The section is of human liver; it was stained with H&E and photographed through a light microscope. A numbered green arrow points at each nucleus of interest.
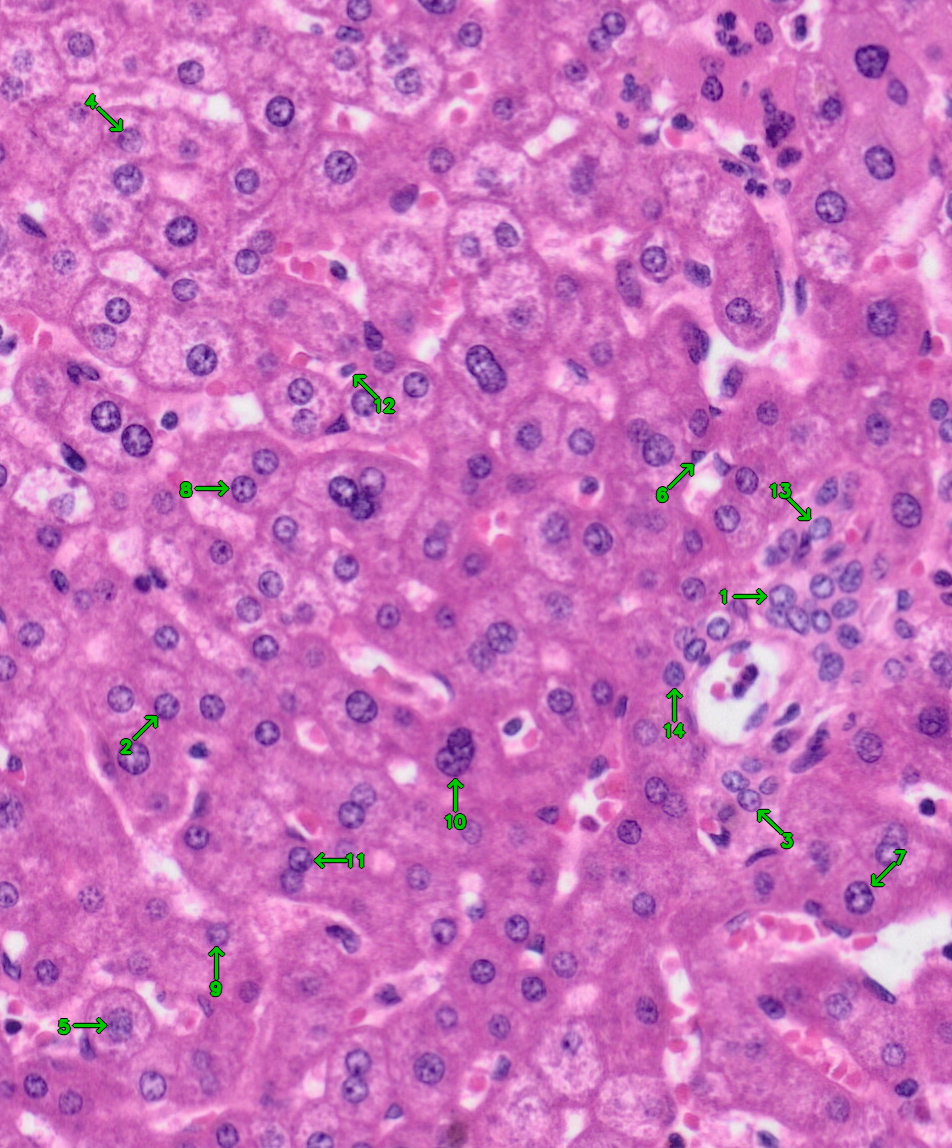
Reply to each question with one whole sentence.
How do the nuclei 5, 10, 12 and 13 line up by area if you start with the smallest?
By area, going up from the smallest, they rank 12, 13, 5, 10.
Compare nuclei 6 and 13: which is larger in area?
Nucleus 13 covers more area, about 2 times as much as nucleus 6.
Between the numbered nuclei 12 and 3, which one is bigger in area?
Of the two, number 3 is bigger and takes up about 2 times the area of number 12.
